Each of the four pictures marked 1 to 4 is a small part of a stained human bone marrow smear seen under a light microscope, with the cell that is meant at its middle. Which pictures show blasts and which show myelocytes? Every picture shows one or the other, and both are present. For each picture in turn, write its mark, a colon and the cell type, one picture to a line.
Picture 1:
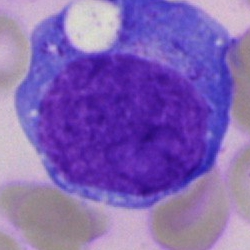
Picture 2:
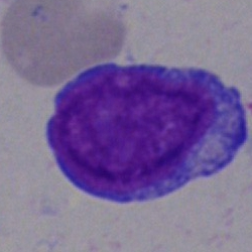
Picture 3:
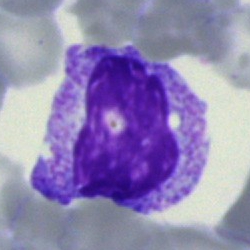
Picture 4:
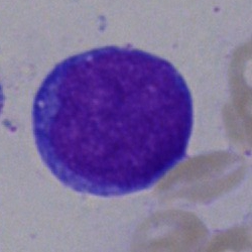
1: blast
2: blast
3: myelocyte
4: blast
